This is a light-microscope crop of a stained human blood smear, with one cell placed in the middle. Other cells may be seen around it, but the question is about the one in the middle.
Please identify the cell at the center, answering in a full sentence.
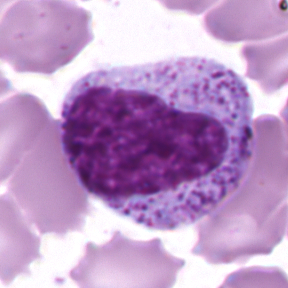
Whatever else lies nearby, the middle cell is a myelocyte.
